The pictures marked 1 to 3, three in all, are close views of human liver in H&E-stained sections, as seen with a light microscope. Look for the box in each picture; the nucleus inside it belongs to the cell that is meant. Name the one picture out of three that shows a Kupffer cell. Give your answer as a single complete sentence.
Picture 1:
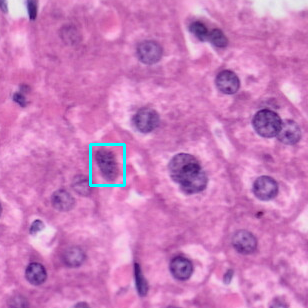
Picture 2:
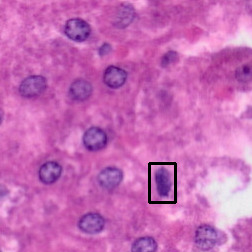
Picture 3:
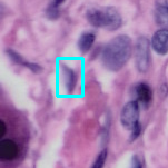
The cell in picture 1 is the Kupffer cell.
